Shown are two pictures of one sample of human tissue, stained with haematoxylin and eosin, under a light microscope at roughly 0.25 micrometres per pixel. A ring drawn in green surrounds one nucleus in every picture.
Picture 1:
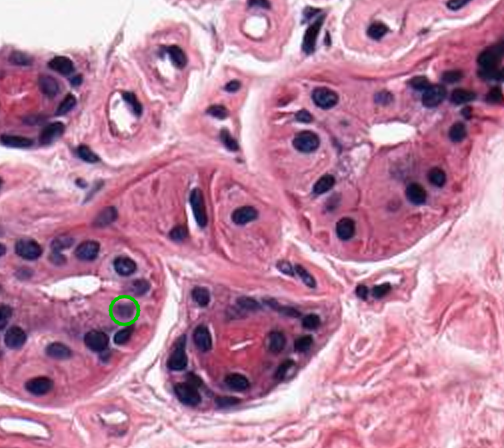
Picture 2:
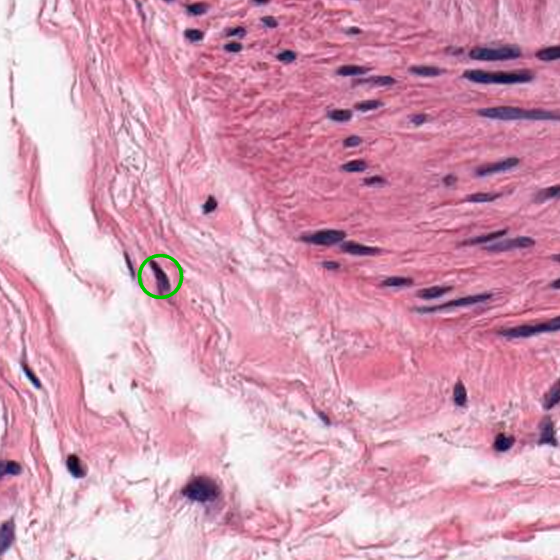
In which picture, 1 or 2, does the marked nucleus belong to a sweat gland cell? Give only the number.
1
